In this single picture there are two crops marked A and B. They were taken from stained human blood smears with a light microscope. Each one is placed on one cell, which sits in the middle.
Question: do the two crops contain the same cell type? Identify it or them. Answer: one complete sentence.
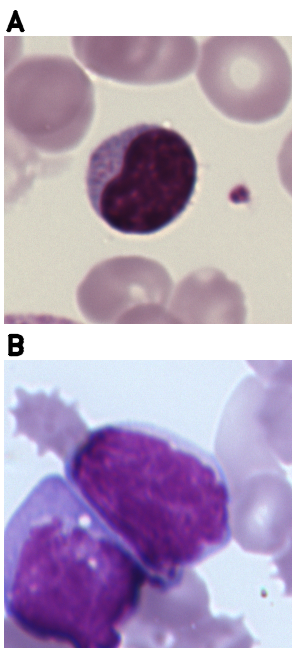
No, crop A contains a large granular lymphocyte, and crop B contains a blast.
